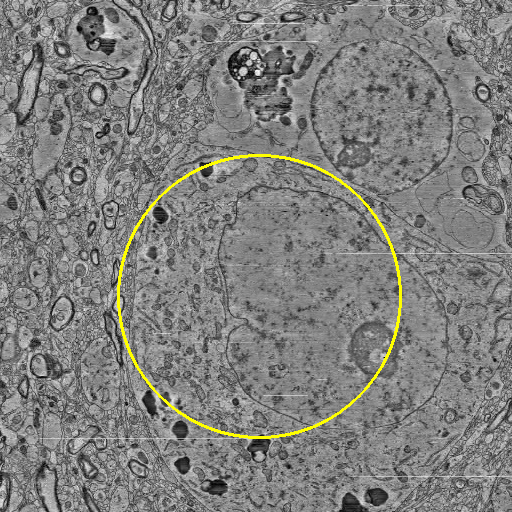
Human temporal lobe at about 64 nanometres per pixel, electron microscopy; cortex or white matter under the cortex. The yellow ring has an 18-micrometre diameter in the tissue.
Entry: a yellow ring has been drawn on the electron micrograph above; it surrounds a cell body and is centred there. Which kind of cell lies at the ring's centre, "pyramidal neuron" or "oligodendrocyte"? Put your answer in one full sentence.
The cell sitting at the ring's centre is a pyramidal neuron in the micrograph above.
